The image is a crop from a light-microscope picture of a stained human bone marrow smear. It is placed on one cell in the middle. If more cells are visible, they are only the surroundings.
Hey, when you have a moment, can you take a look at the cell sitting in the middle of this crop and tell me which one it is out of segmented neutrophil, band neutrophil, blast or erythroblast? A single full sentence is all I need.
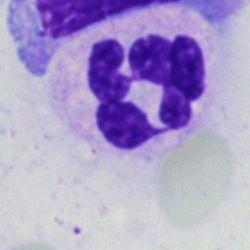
In the central position of this crop, the cell is a segmented neutrophil.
